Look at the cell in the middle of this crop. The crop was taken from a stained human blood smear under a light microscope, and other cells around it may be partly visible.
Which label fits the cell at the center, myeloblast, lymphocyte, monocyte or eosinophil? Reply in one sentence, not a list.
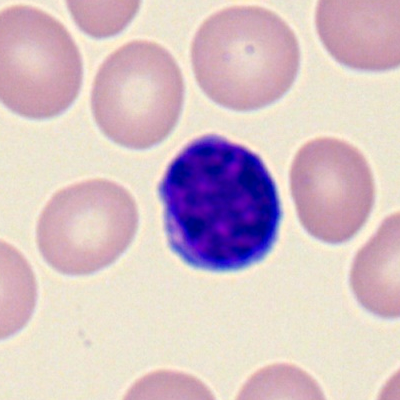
The cell at the centre of the field is a lymphocyte.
